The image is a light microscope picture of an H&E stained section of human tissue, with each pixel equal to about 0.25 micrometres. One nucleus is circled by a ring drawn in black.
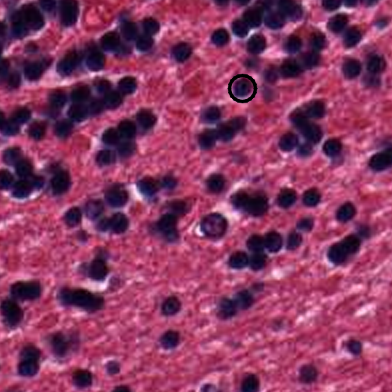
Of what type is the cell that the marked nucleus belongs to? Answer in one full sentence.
The marked nucleus is contained in a cerebellar granule cell.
